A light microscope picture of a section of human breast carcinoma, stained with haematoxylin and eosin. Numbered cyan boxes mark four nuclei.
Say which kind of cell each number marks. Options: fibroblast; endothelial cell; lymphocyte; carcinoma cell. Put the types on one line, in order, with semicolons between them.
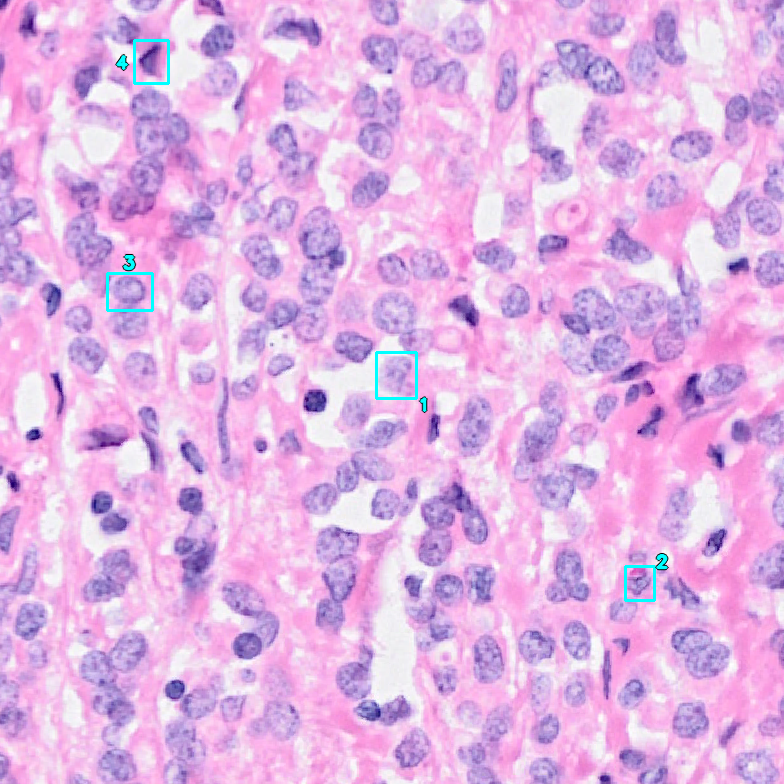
carcinoma cell; endothelial cell; carcinoma cell; carcinoma cell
